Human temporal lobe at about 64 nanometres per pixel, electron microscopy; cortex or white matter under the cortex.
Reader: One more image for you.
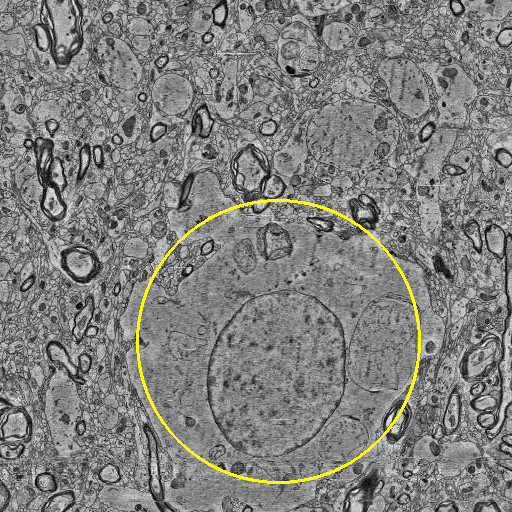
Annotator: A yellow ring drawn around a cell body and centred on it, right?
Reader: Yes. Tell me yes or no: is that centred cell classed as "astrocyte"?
yes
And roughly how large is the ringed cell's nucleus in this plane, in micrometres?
The nucleus is approximately 11 micrometers long by 9 micrometers wide in this plane.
